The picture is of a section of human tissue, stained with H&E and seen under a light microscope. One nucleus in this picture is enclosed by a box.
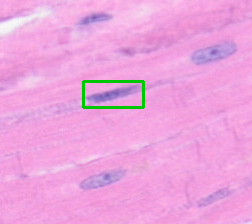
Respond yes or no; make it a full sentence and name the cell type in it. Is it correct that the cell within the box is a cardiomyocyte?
No, the cell within the box is to be identified as an endothelial cell, not a cardiomyocyte.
